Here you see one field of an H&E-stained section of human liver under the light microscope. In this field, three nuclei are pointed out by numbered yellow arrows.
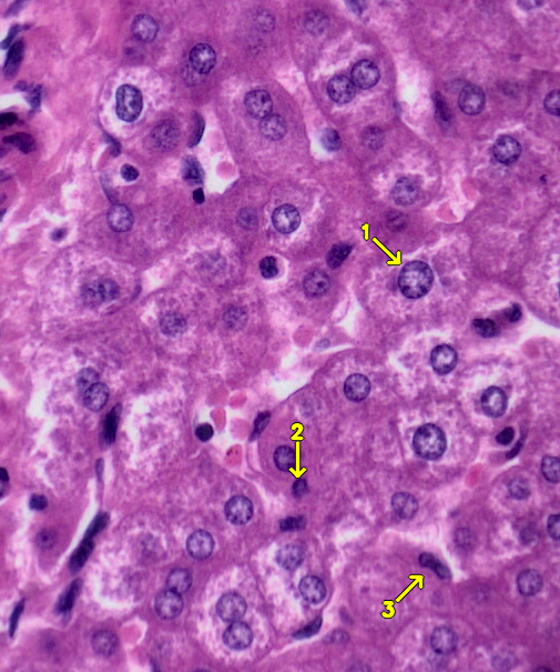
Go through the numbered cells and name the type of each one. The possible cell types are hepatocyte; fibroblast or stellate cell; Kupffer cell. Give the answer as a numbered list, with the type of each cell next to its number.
1. hepatocyte
2. fibroblast or stellate cell
3. Kupffer cell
